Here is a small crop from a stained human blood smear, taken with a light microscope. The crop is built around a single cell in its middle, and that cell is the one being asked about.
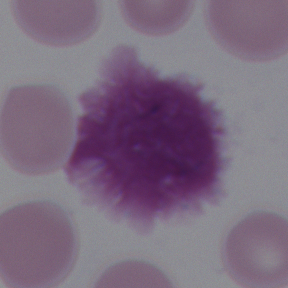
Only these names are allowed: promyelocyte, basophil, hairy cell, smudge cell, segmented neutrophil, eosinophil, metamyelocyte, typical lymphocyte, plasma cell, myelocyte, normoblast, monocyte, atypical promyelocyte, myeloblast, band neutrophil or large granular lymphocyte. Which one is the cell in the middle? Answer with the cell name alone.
smudge cell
